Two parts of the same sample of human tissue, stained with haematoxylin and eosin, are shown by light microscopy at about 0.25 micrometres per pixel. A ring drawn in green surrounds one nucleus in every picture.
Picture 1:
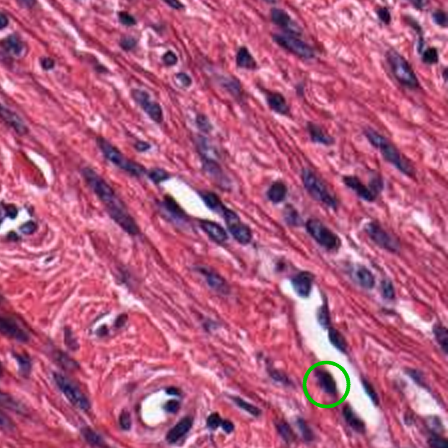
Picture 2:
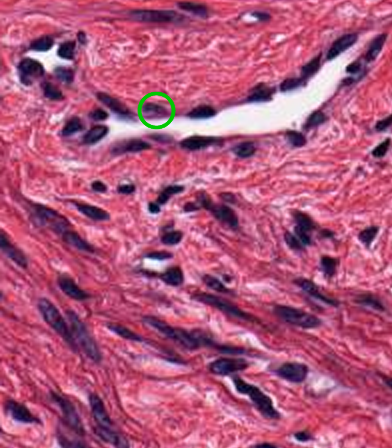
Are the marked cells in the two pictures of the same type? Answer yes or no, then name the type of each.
Yes, both are endothelial cells.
